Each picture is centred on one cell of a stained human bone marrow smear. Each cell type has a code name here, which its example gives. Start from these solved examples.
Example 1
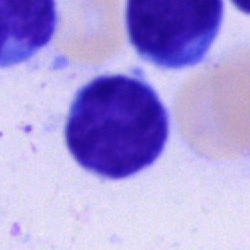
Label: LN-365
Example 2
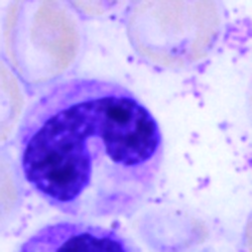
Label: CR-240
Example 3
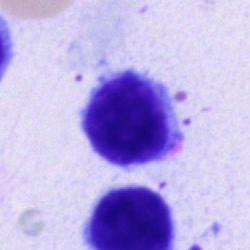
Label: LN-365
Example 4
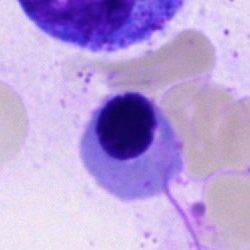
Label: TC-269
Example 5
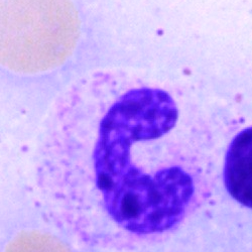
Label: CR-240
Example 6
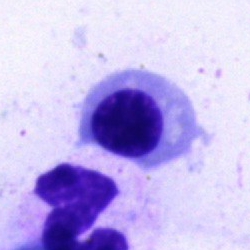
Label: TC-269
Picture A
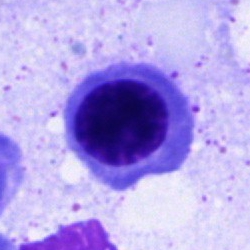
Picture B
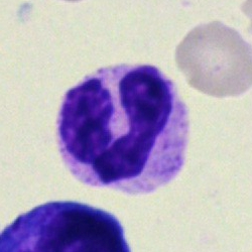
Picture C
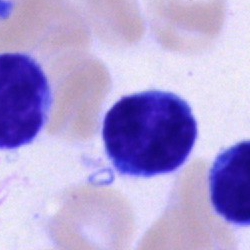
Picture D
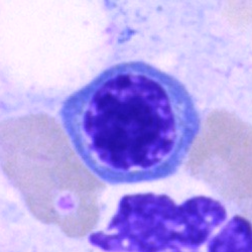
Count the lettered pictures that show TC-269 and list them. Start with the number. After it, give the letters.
Count: 2 (A, D)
